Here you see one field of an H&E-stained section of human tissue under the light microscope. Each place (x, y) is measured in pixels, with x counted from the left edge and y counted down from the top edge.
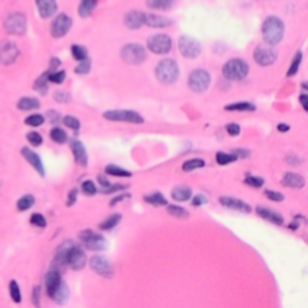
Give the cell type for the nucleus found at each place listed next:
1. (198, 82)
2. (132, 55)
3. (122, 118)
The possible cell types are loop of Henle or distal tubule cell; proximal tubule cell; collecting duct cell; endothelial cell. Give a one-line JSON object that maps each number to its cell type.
{"1": "collecting duct cell", "2": "collecting duct cell", "3": "endothelial cell"}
